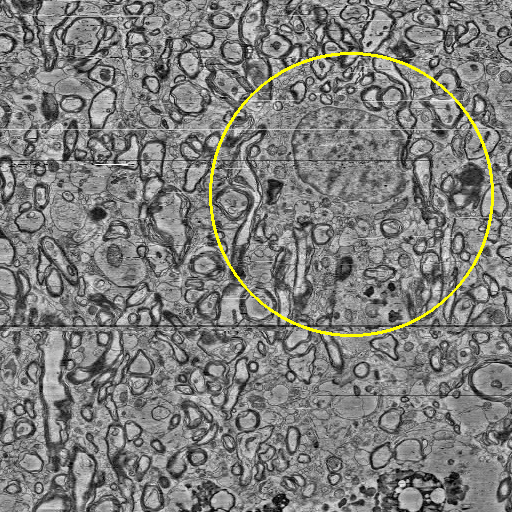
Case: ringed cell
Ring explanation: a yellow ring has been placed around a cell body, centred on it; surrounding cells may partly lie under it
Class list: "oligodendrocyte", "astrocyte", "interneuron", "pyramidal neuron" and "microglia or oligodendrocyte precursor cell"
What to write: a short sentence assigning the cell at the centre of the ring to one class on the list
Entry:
The cell at the ring's centre is an oligodendrocyte.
